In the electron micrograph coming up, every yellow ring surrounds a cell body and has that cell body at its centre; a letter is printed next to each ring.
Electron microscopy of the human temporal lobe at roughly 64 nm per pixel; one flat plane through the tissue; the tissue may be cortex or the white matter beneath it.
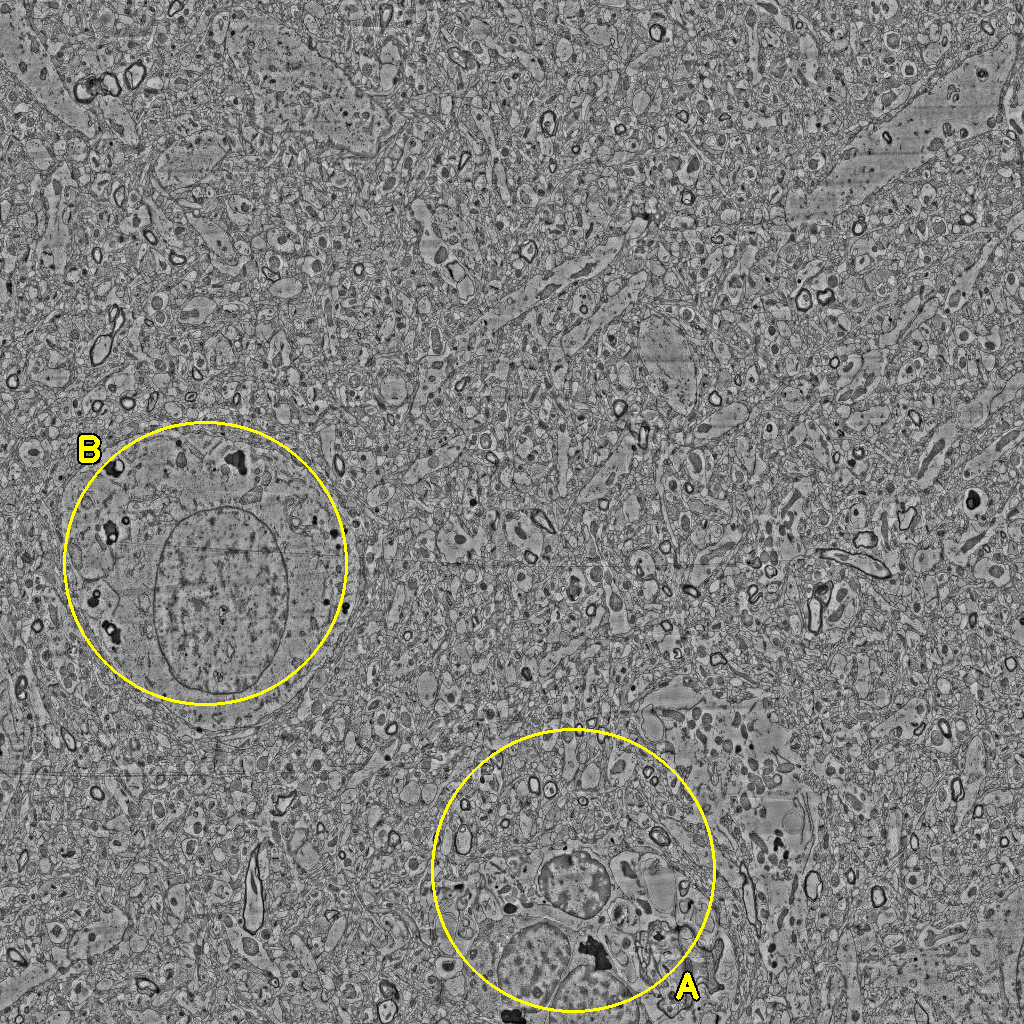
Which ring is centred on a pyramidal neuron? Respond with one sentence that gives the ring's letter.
Ring B is the one whose centre sits on the cell asked for in the picture.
